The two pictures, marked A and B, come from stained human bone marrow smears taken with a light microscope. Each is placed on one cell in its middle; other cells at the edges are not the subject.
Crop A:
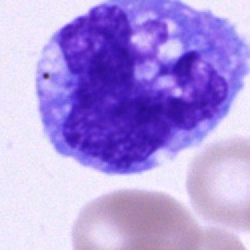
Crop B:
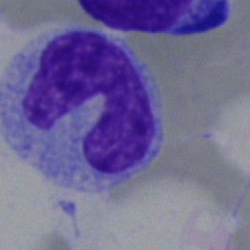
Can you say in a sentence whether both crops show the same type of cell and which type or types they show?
Yes, both crops show monocytes, and the two match.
